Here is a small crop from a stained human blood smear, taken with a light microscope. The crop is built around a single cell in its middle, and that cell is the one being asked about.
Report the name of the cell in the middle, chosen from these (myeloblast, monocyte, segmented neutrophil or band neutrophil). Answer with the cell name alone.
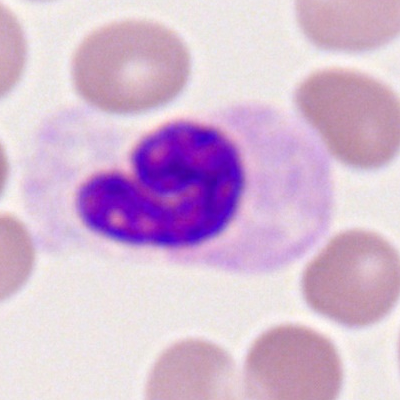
band neutrophil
